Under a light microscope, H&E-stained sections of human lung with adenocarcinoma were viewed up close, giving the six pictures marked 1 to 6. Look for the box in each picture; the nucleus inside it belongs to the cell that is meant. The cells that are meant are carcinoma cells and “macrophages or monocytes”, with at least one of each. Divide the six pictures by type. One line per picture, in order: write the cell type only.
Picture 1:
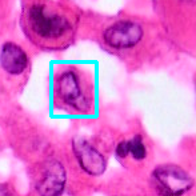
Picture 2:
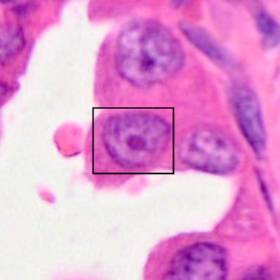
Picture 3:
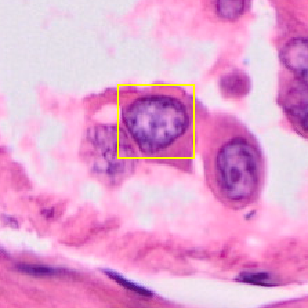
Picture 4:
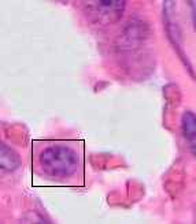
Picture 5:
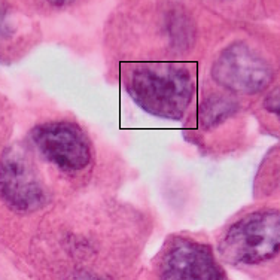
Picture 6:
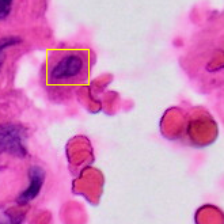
macrophage or monocyte
carcinoma cell
carcinoma cell
macrophage or monocyte
carcinoma cell
macrophage or monocyte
